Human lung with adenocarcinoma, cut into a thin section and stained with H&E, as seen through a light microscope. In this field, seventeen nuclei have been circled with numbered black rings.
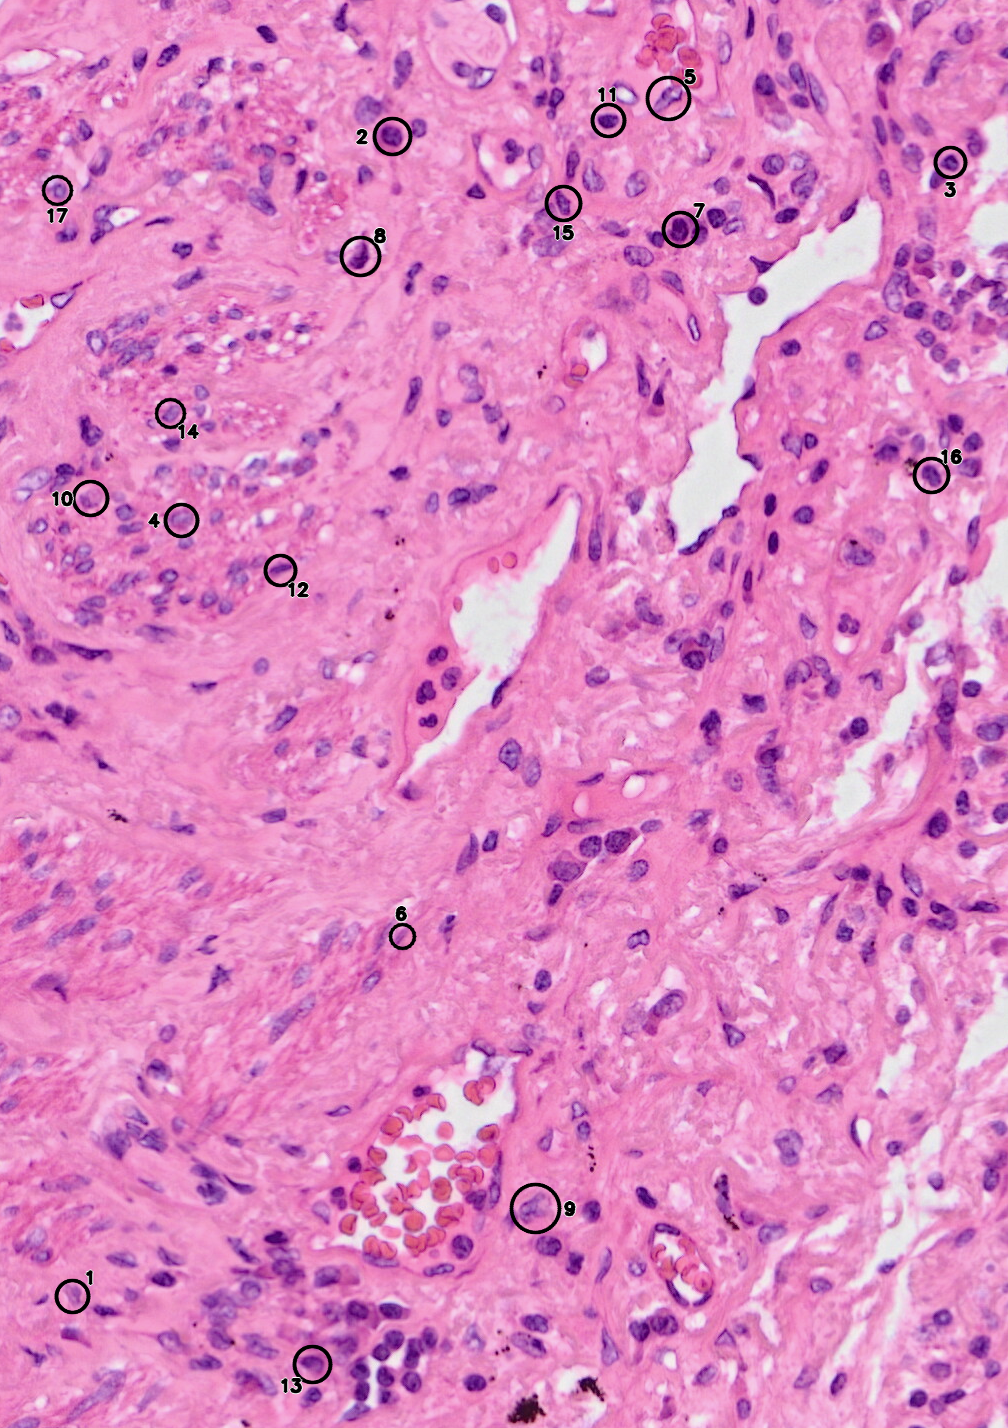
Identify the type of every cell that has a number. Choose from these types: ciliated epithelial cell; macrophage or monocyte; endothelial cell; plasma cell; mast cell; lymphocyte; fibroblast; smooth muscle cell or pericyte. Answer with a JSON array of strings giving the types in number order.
["fibroblast", "plasma cell", "lymphocyte", "smooth muscle cell or pericyte", "endothelial cell", "smooth muscle cell or pericyte", "plasma cell", "plasma cell", "fibroblast", "smooth muscle cell or pericyte", "lymphocyte", "smooth muscle cell or pericyte", "plasma cell", "smooth muscle cell or pericyte", "mast cell", "lymphocyte", "smooth muscle cell or pericyte"]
